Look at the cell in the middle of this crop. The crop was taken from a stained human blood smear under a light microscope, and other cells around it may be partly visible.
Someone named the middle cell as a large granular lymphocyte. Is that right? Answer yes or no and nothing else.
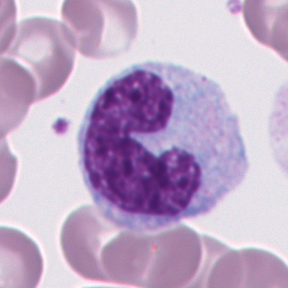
no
